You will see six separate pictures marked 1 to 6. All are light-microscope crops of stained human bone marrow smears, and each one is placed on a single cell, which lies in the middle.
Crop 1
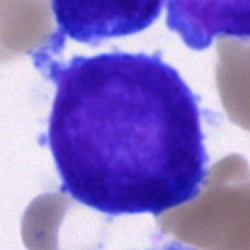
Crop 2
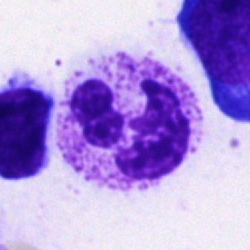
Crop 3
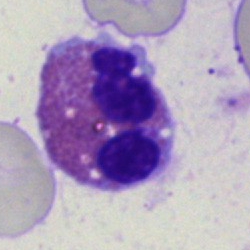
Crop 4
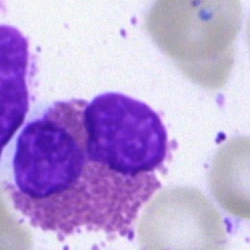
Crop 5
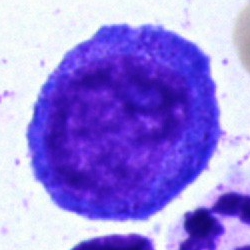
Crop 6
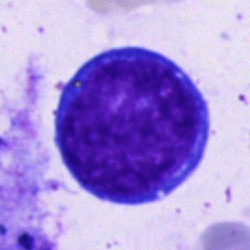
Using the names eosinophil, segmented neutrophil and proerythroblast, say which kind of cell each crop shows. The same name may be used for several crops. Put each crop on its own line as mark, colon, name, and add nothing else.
1: proerythroblast
2: segmented neutrophil
3: eosinophil
4: eosinophil
5: proerythroblast
6: proerythroblast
